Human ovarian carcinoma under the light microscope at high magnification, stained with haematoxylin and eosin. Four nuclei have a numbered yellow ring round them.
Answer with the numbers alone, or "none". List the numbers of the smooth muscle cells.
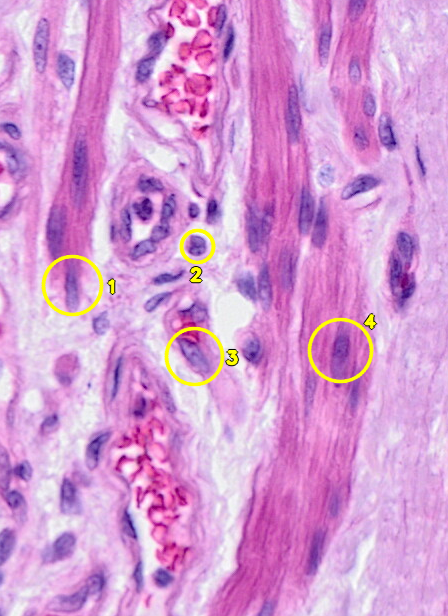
1, 4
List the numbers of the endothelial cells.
3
